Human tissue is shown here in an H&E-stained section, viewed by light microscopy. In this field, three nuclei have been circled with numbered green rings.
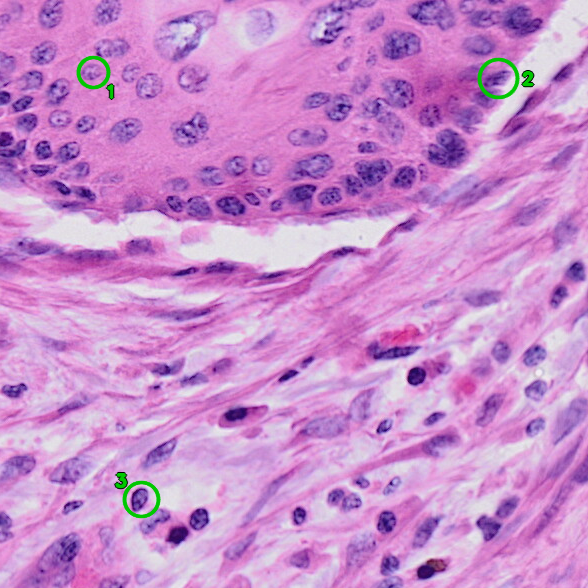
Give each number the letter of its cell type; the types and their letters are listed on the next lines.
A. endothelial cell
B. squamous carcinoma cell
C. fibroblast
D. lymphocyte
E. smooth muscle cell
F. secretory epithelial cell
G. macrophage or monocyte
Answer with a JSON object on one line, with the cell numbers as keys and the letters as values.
{"1": "B", "2": "B", "3": "D"}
